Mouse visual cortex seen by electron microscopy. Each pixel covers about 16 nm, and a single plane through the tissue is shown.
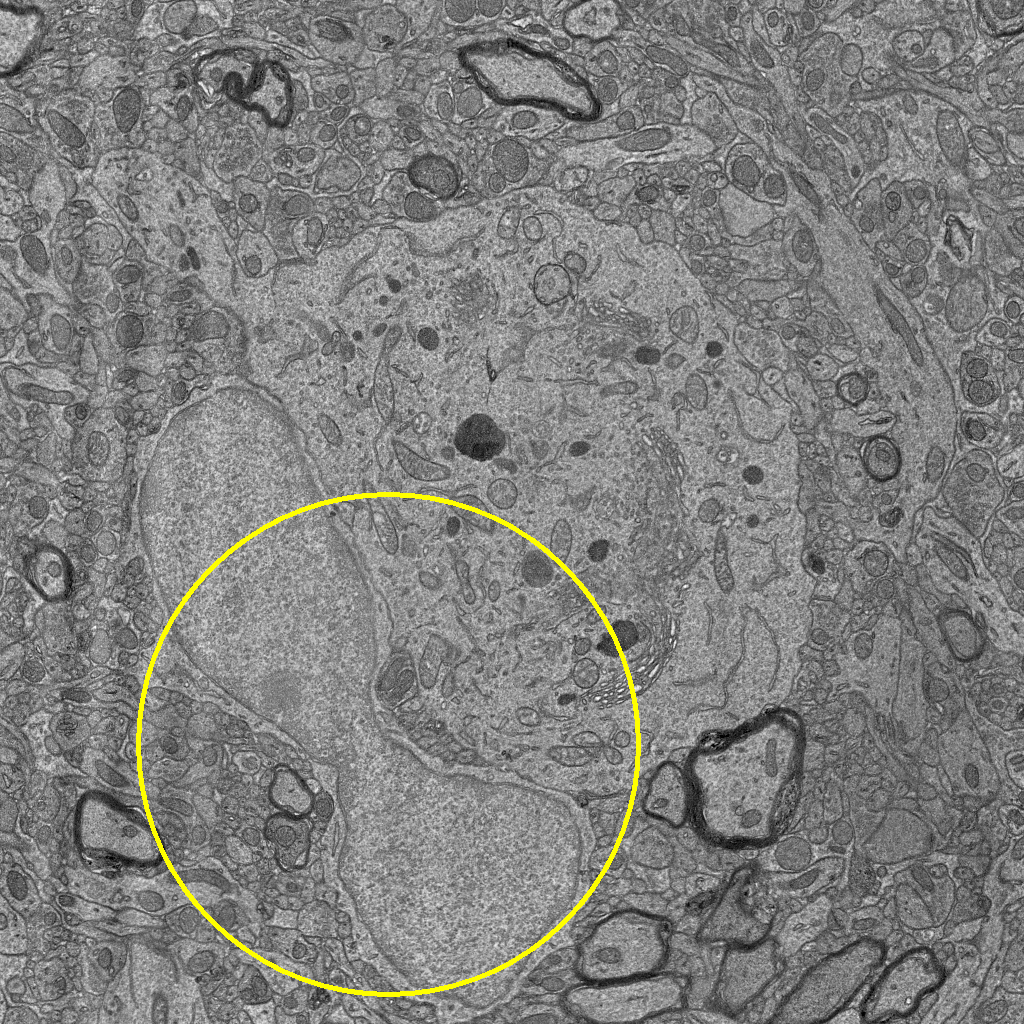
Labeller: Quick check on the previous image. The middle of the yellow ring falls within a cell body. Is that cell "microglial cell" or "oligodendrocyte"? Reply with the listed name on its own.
oligodendrocyte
